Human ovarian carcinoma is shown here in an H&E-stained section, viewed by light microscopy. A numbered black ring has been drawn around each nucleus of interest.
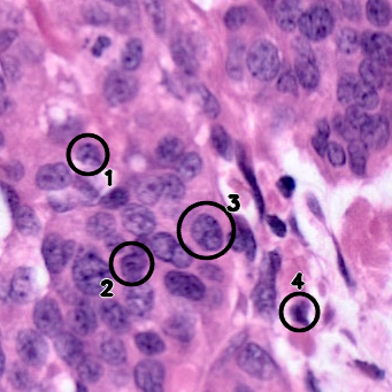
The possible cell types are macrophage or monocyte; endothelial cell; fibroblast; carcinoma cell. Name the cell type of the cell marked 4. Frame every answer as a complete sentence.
Within this field of view, the cell labelled 4 is a fibroblast.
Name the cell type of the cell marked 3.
Identified as a carcinoma cell is the cell bearing the number 3.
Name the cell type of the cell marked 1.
Of the numbered cells, the one labelled 1 is a macrophage or monocyte.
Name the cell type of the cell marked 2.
The one labeled 2 is a carcinoma cell, to put it simply.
